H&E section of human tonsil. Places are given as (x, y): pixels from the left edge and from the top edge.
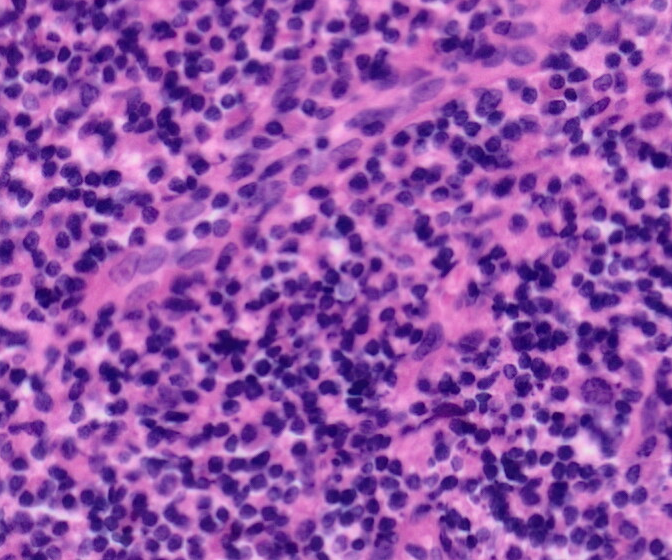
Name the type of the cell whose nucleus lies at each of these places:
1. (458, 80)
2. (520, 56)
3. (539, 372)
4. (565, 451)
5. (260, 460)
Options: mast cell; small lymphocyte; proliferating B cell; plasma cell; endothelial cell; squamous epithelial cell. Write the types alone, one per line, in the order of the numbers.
endothelial cell
endothelial cell
small lymphocyte
small lymphocyte
small lymphocyte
